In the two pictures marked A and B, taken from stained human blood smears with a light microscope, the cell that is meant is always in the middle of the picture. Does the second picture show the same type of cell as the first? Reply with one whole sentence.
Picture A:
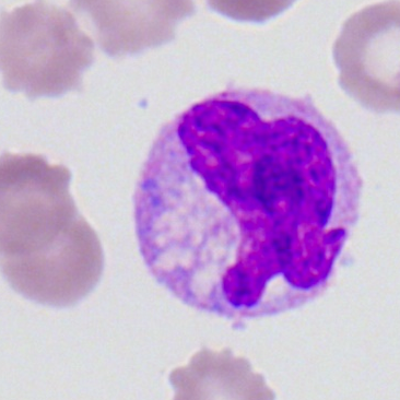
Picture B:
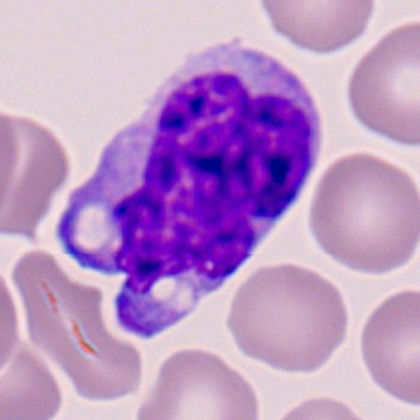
Yes; the cells in both pictures are monocytes.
